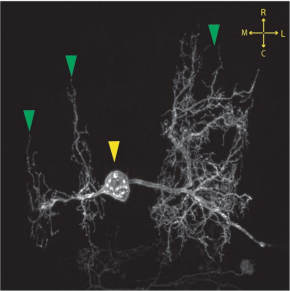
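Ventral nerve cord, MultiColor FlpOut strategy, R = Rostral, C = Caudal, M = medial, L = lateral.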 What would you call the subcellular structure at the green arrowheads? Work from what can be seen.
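The green arrowheads point to fine branching processes. The branches extend from the labeled cell's main process in separate groups.
Conclusion: dendritic arrays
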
